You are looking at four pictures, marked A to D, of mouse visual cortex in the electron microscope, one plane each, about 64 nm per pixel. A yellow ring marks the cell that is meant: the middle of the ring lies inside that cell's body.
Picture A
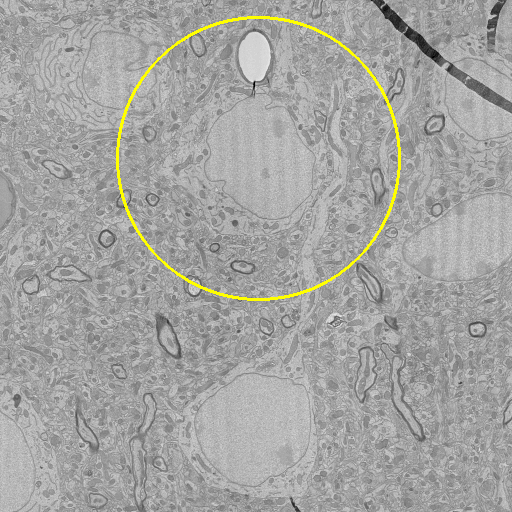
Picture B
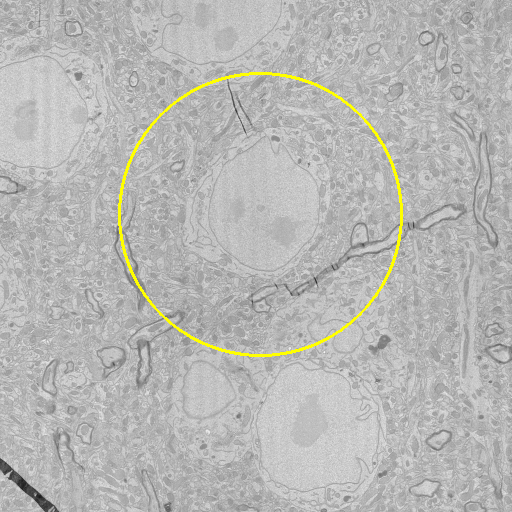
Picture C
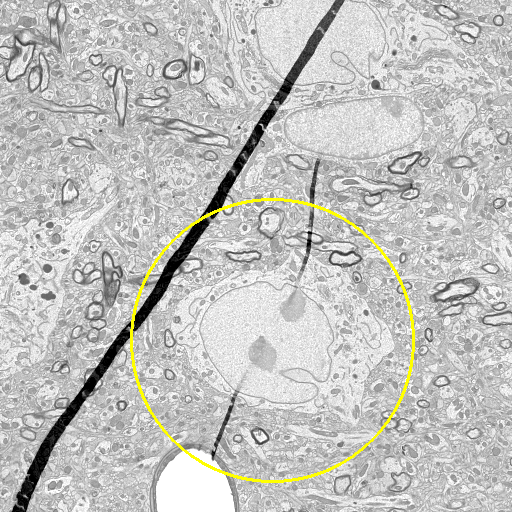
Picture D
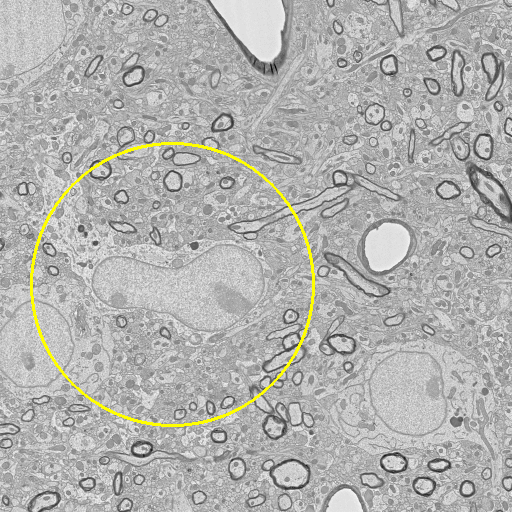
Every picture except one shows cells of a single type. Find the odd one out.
All pictures except D show excitatory neurons; picture D shows an astrocyte.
